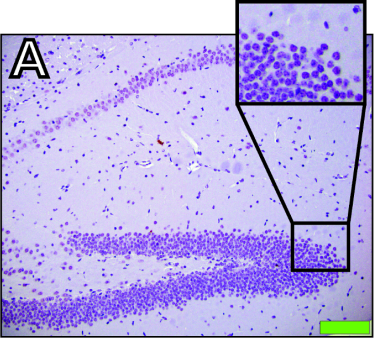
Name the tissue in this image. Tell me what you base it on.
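Sparse scattered nuclei in the pale neuropil between the bands. That points to this answer: Hippocampus.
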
